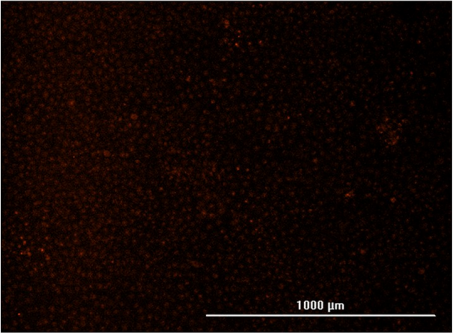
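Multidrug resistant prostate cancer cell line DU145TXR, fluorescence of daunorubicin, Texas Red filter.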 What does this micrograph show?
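A dense layer of cultured cells covers the field, but they show only a faint, dim red glow against a dark background. The outlines of small rounded cells can just be made out across the field, packed closely together. A few small brighter red specks are scattered here and there.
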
